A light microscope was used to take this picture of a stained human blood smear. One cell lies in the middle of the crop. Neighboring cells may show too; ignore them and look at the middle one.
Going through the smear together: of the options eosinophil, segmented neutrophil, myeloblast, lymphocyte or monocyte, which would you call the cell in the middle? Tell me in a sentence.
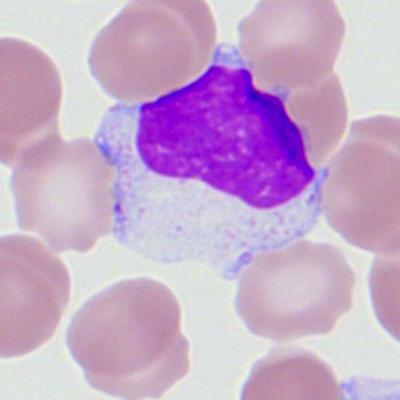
The single cell at the center of the crop is a lymphocyte.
